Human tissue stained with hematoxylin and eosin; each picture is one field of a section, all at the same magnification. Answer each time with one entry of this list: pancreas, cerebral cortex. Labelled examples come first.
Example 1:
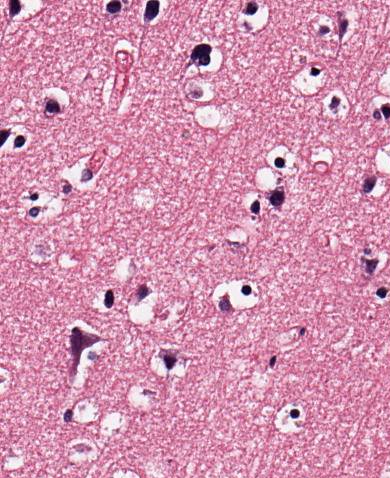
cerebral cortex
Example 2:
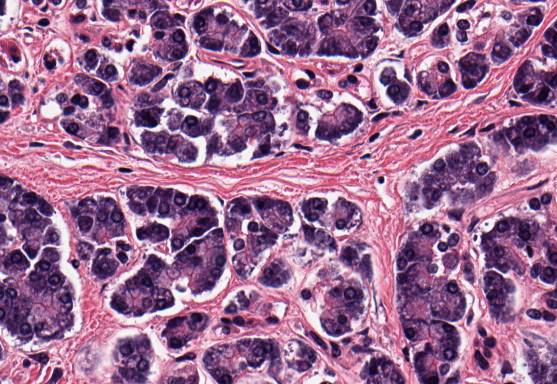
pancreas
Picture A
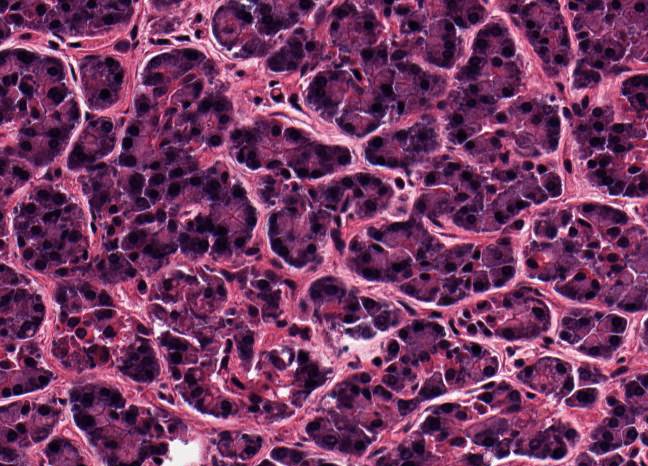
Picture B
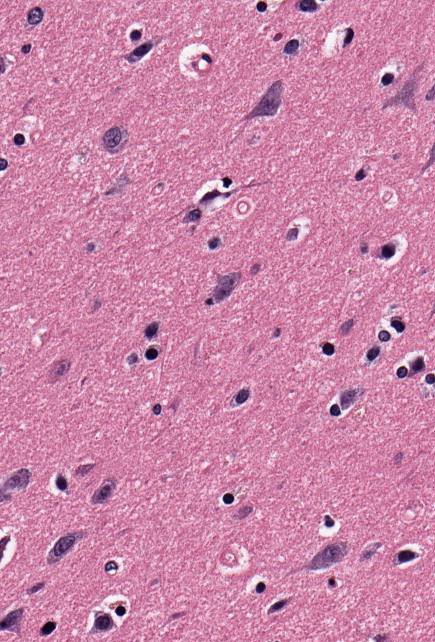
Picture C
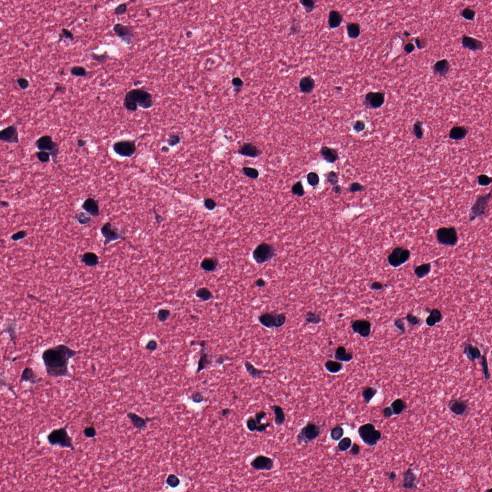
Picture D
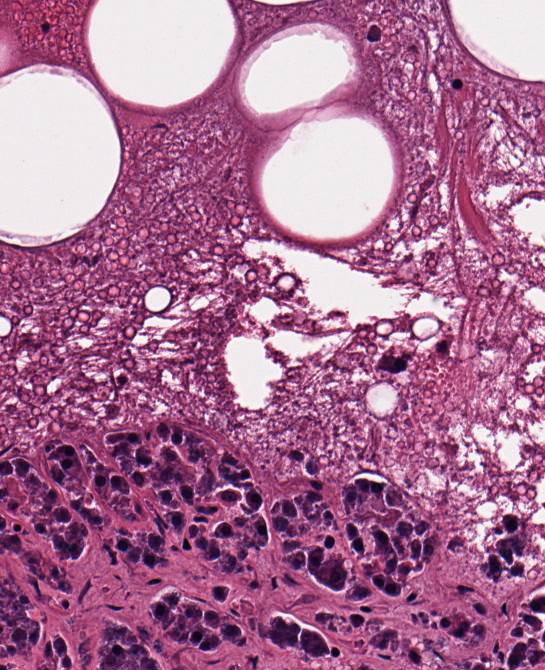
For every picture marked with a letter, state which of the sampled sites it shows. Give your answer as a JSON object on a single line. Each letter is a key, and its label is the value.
{"A": "pancreas", "B": "cerebral cortex", "C": "cerebral cortex", "D": "pancreas"}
